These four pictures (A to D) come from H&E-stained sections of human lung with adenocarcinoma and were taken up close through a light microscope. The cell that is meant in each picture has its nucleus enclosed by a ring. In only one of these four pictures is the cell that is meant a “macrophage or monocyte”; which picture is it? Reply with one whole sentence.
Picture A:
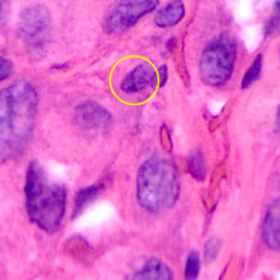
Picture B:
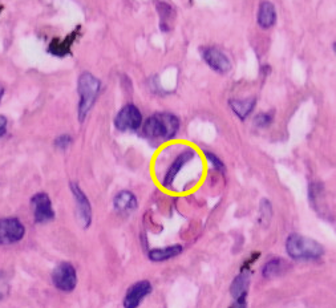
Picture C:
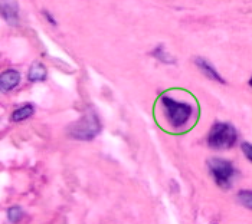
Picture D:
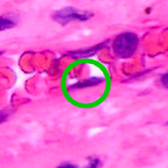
The “macrophage or monocyte” is the one in picture A.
